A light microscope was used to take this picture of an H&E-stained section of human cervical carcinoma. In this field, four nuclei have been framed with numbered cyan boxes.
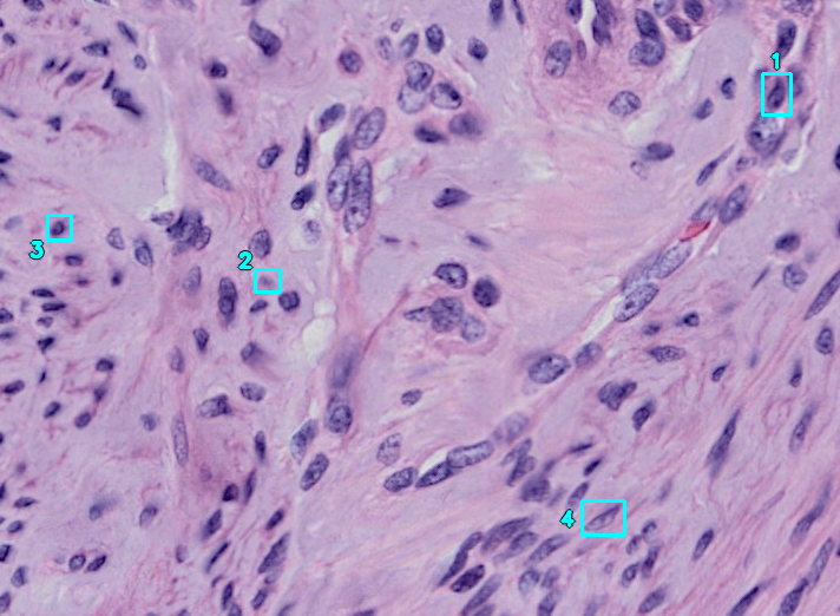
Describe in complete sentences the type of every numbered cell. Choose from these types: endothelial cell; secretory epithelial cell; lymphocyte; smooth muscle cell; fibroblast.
Cell 1 is an endothelial cell. Cells 2, 3 and 4 are smooth muscle cells.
